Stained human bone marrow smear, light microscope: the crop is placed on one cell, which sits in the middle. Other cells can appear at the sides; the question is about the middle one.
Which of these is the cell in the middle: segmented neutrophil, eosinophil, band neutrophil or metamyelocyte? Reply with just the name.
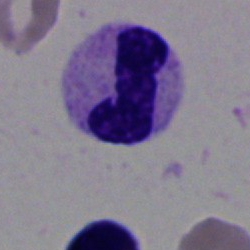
band neutrophil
